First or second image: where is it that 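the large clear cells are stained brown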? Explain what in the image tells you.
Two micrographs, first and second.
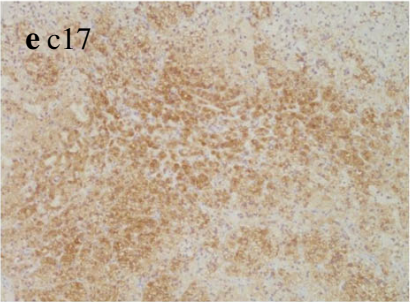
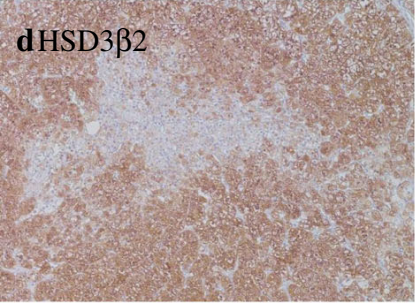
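The second image. First image: brown stain lies in small compact cells while the larger pale cells stay mostly unstained. Second image: broad areas of large cells are brown while a band of smaller cells stays pale.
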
